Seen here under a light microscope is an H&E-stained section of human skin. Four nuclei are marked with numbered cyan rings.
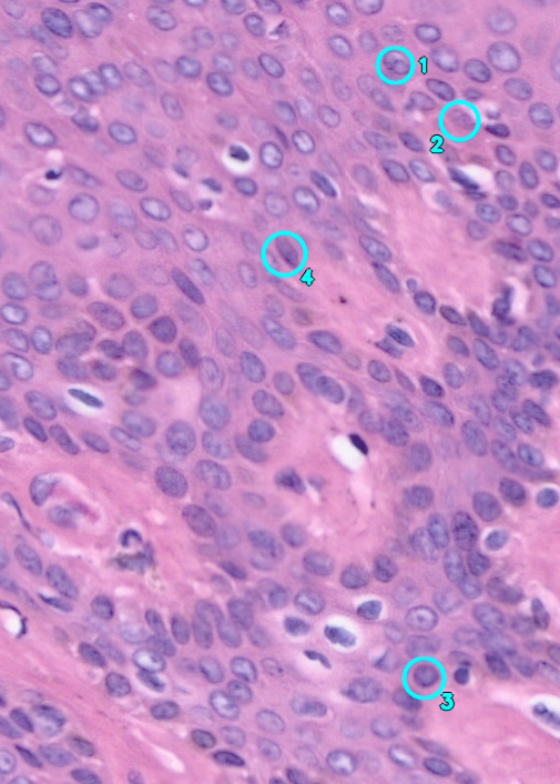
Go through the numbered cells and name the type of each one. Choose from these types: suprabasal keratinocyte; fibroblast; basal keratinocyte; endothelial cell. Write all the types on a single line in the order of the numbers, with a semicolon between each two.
suprabasal keratinocyte; basal keratinocyte; basal keratinocyte; basal keratinocyte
